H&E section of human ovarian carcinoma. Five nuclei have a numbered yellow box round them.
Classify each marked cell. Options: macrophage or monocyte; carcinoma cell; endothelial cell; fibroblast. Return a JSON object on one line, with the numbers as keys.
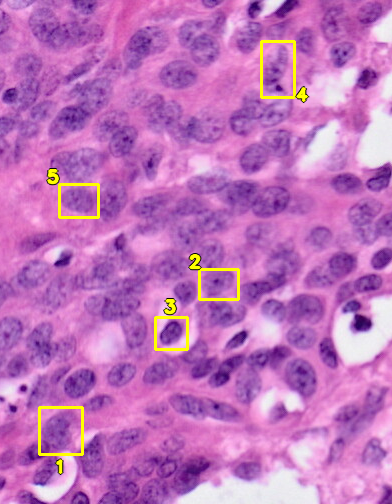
{"1": "carcinoma cell", "2": "carcinoma cell", "3": "macrophage or monocyte", "4": "macrophage or monocyte", "5": "carcinoma cell"}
